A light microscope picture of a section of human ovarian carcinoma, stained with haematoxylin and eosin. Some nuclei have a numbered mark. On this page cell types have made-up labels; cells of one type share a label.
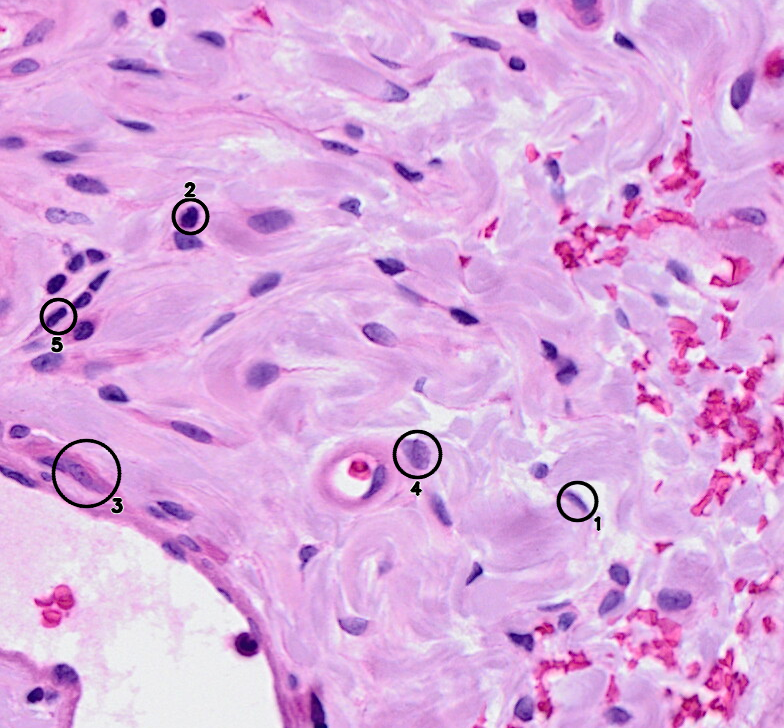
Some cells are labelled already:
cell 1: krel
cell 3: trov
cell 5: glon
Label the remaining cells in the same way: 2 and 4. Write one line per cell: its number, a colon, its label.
2: glon
4: krel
